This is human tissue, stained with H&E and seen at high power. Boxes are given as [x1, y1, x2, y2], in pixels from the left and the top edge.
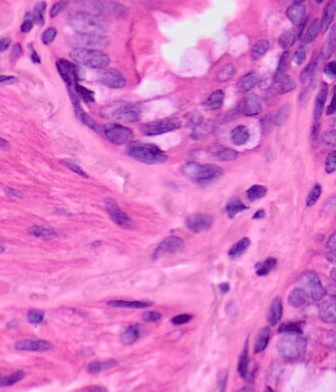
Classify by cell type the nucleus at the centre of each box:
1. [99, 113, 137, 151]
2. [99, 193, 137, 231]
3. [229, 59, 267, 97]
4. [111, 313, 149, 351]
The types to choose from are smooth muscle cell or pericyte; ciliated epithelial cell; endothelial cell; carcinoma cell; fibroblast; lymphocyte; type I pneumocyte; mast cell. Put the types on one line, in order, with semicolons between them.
ciliated epithelial cell; smooth muscle cell or pericyte; ciliated epithelial cell; smooth muscle cell or pericyte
